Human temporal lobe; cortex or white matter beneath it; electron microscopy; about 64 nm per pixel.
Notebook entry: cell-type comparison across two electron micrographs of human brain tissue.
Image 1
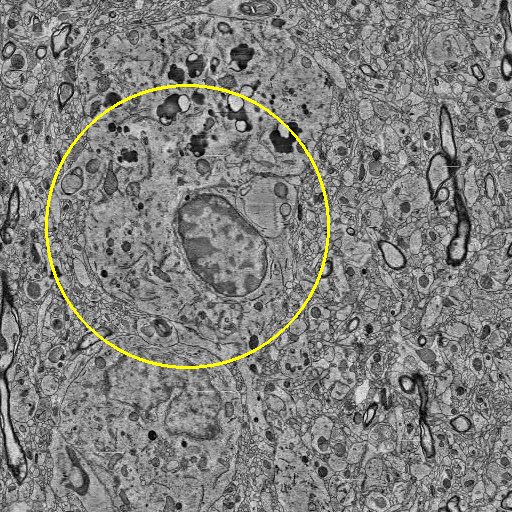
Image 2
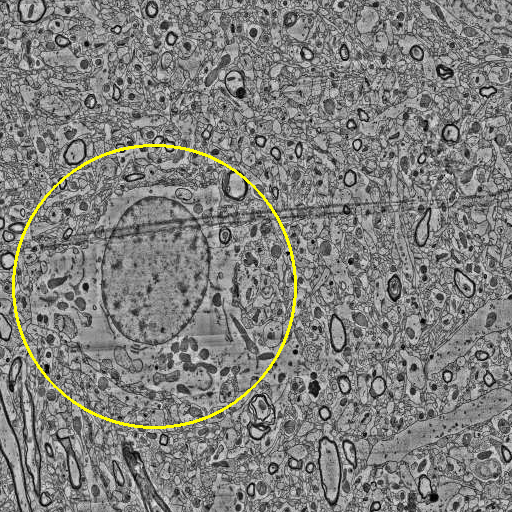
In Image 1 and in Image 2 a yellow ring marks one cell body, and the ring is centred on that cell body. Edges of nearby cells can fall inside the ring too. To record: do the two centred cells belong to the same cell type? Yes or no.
no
